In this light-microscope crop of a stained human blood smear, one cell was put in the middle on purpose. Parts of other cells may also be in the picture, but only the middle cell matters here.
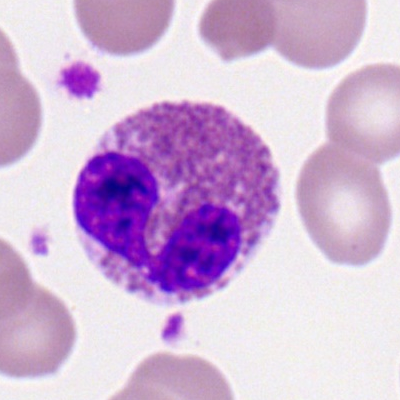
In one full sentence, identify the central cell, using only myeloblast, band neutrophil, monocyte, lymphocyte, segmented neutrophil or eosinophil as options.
The cell at the central position in this crop is an eosinophil.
